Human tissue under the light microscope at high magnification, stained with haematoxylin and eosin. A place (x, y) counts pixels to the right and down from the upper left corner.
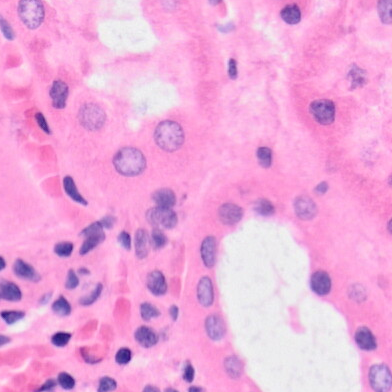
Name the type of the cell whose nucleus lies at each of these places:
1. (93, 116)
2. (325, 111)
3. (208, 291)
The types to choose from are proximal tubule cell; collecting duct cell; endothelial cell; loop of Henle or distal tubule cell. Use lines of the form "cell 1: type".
cell 1: proximal tubule cell
cell 2: proximal tubule cell
cell 3: loop of Henle or distal tubule cell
